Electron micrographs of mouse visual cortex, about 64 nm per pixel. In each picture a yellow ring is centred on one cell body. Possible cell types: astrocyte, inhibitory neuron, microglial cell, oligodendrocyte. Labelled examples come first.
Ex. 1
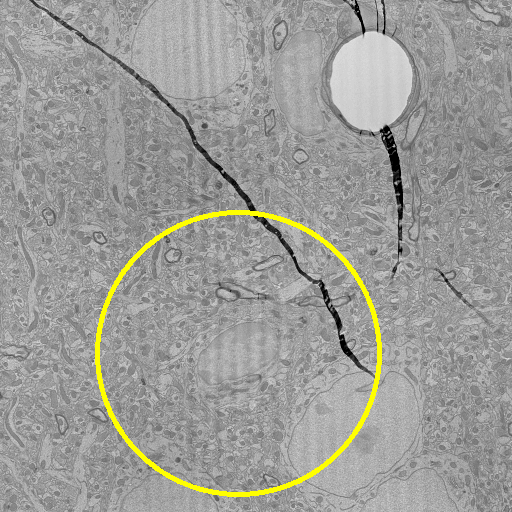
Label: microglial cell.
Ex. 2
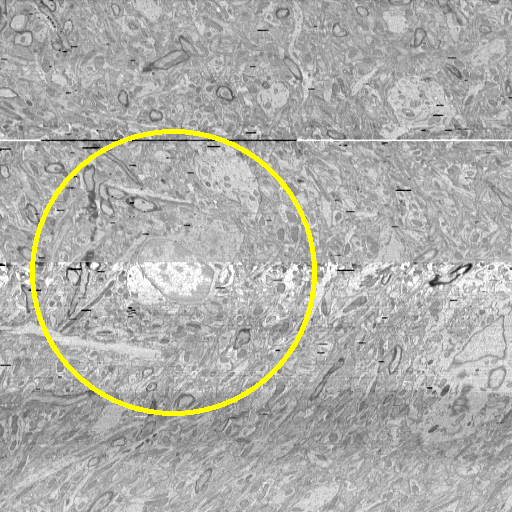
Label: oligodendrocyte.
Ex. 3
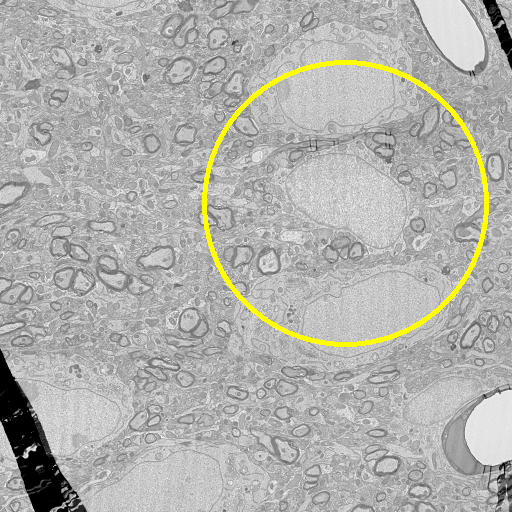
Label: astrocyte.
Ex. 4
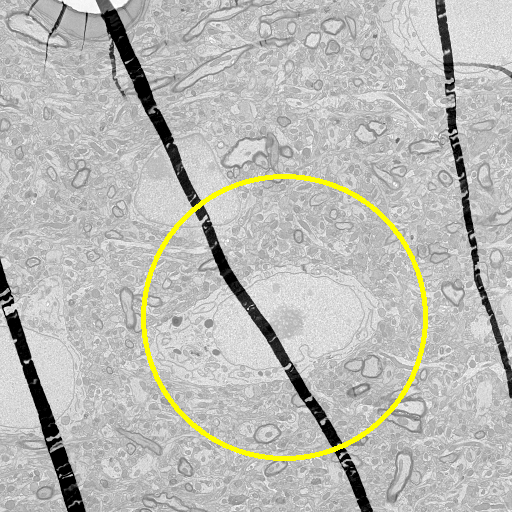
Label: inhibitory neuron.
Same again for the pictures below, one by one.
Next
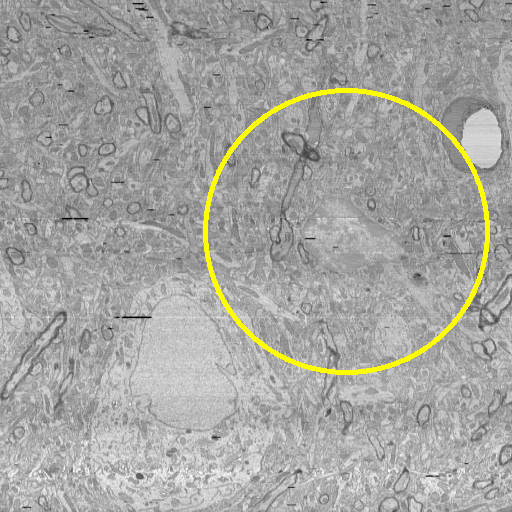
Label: oligodendrocyte.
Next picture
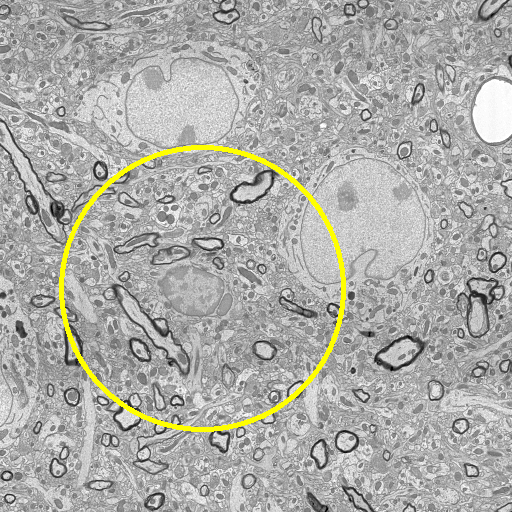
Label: microglial cell.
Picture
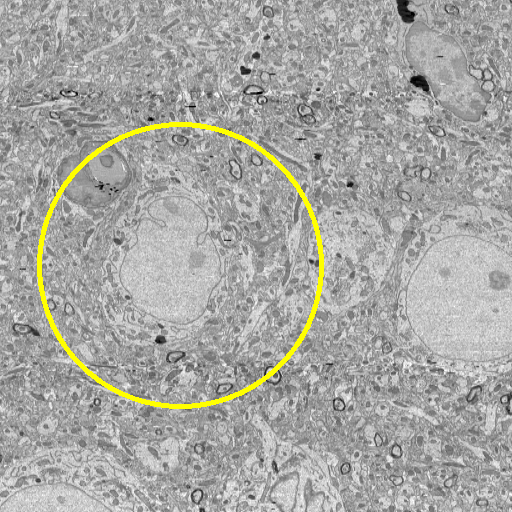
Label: inhibitory neuron.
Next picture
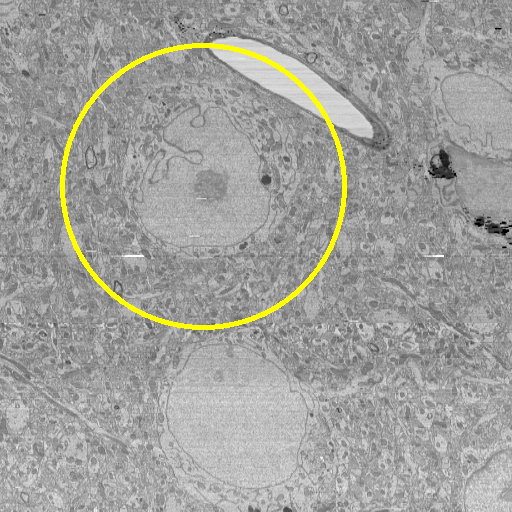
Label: inhibitory neuron.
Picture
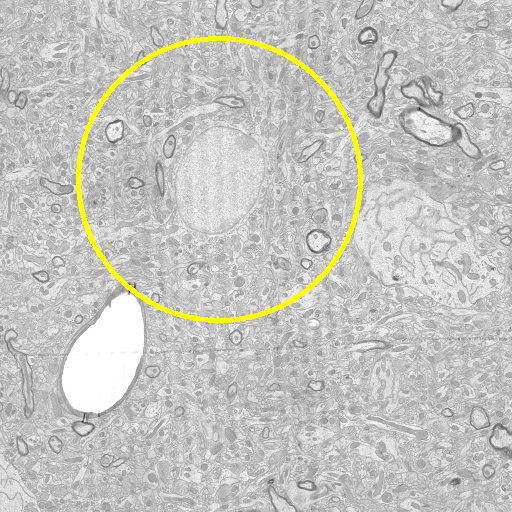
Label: astrocyte.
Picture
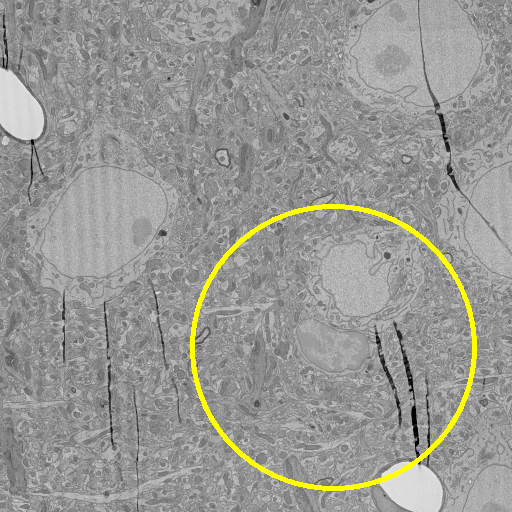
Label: microglial cell.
